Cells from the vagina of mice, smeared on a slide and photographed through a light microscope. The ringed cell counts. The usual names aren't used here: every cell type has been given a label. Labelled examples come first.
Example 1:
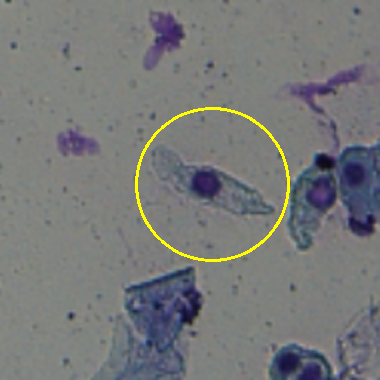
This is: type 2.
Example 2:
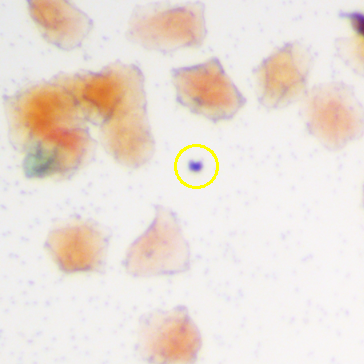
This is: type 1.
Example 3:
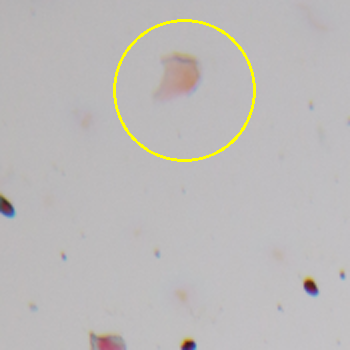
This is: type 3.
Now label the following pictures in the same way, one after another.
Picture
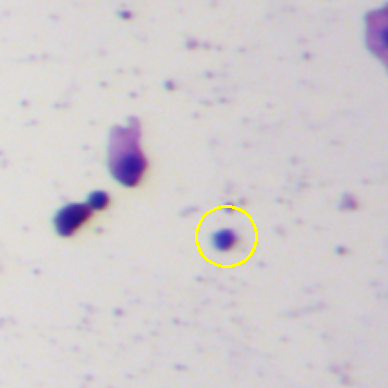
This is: type 1.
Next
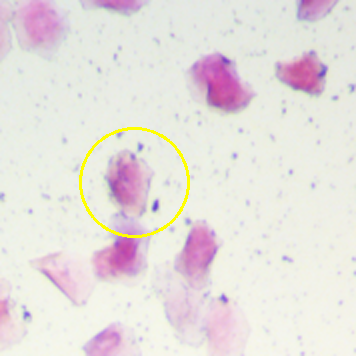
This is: type 3.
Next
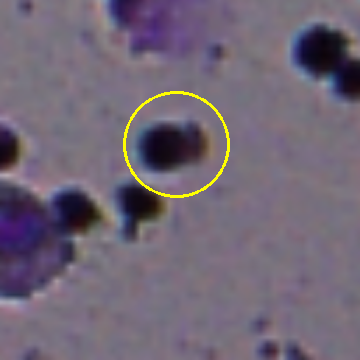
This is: type 1.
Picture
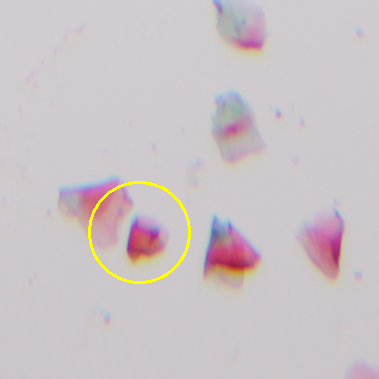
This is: type 3.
